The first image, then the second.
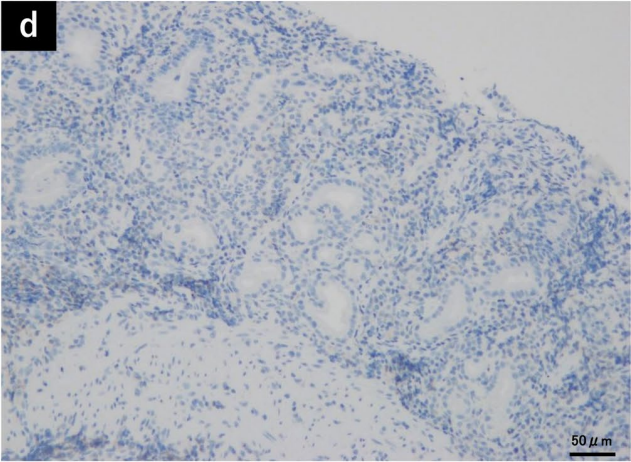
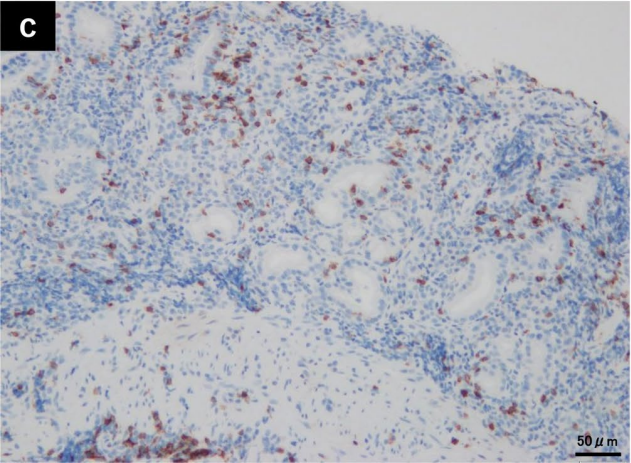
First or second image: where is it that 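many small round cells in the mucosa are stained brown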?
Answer: The second image.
